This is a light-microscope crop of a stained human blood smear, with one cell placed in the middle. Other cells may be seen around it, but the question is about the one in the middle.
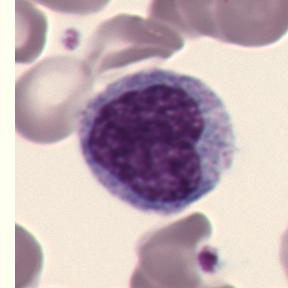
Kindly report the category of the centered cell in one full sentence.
The cell at the centre of the field is a monocyte.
